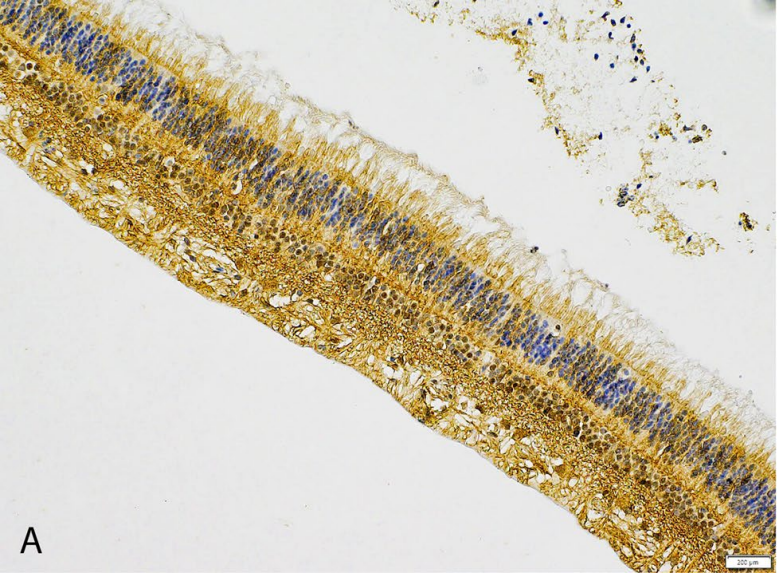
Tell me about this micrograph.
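This is a section of normal retina, with its cells arranged in parallel layers across a thin sheet. Bands of round nuclei are stacked in rows, and slender, regularly aligned processes project from one surface. Brown stain is intense and diffuse across most layers, and many nuclei appear brown. A few rows of nuclei remain blue from the counterstain.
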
